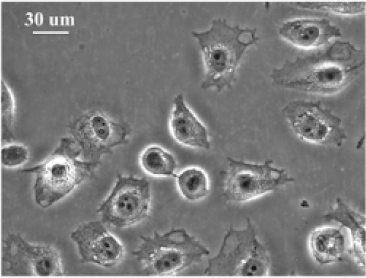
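Most cells are flattened and polygonal to irregular in outline, with thin spreading margins and short pointed processes at their edges. Each has a single central, oval nucleus with a clear outline and one or more dark nucleoli. The cytoplasm around the nucleus is granular and darker, thinning toward the pale periphery. A few cells are rounded and bright-edged, as in cells detaching or dividing. Cells lie singly or touch neighbours at a few points.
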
